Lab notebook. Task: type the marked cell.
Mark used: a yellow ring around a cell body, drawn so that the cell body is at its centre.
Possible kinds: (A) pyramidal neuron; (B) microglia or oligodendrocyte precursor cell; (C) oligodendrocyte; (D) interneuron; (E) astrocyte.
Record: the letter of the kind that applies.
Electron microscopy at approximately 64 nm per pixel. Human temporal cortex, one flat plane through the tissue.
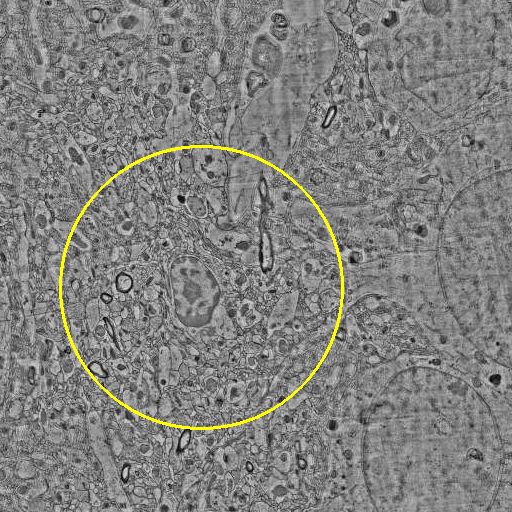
B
